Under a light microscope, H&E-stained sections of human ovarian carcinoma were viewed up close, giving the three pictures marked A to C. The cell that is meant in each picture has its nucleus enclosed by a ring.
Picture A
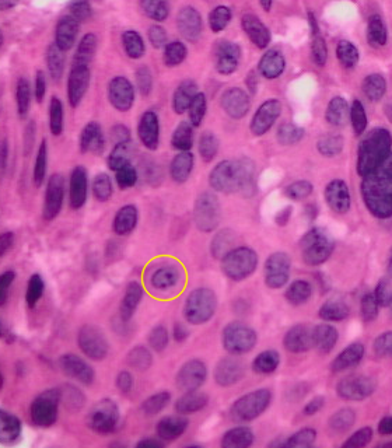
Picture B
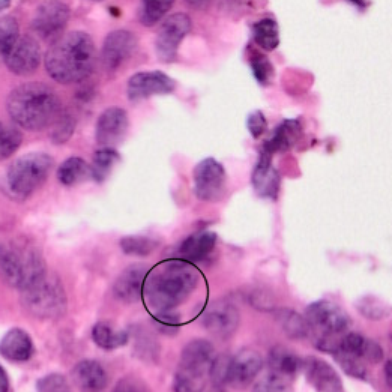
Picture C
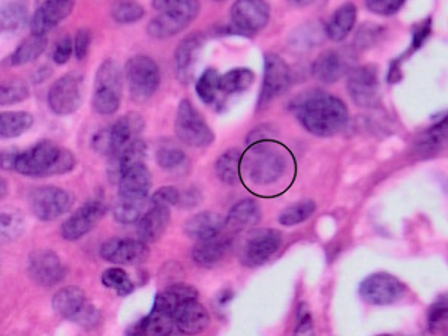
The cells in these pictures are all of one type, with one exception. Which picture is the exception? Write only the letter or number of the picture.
A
